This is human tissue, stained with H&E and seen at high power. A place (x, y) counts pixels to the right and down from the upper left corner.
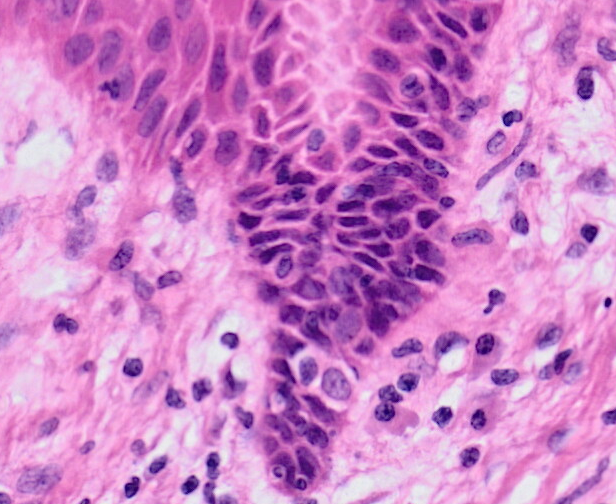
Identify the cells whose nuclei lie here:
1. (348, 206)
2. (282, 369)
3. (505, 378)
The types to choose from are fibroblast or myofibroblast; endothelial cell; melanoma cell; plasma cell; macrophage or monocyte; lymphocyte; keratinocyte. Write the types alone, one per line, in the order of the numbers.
keratinocyte
keratinocyte
lymphocyte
